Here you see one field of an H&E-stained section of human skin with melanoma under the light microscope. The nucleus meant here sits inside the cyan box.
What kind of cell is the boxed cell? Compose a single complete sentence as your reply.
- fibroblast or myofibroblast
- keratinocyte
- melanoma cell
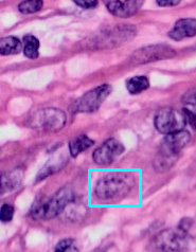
For cell typing purposes, the boxed cell is a melanoma cell.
